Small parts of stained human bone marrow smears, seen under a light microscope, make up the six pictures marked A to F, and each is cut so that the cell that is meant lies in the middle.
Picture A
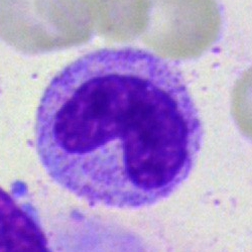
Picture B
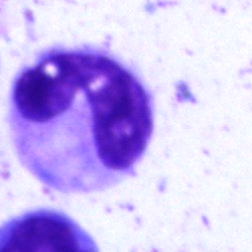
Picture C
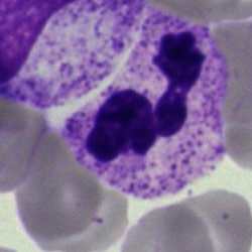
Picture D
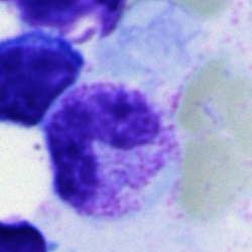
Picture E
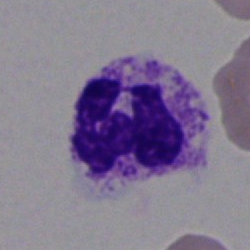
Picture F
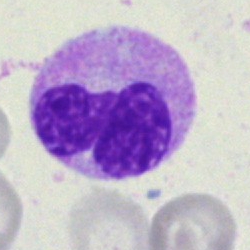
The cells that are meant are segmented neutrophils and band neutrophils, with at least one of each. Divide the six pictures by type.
A: band neutrophil
B: band neutrophil
C: segmented neutrophil
D: band neutrophil
E: segmented neutrophil
F: band neutrophil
